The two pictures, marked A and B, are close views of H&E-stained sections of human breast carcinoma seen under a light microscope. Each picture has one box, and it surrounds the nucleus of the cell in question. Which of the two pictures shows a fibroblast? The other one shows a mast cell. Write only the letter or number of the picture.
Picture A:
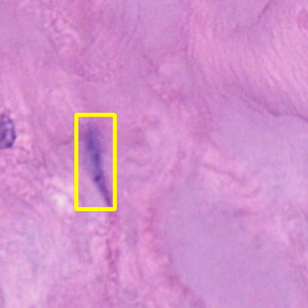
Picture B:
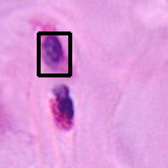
A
